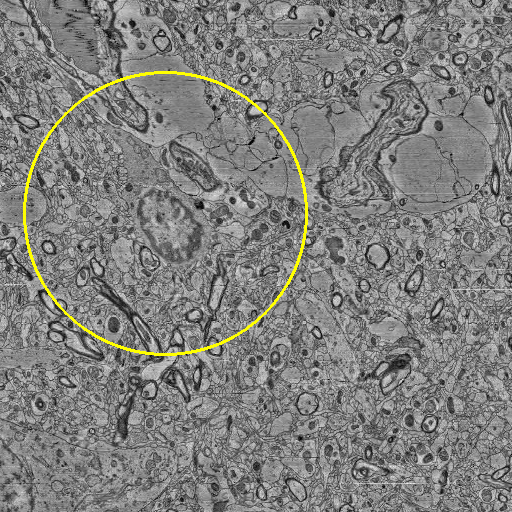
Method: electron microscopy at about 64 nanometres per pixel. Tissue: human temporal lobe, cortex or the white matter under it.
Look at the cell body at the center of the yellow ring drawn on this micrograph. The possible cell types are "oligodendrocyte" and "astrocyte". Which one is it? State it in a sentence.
The cell in the middle of the ring is an oligodendrocyte.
